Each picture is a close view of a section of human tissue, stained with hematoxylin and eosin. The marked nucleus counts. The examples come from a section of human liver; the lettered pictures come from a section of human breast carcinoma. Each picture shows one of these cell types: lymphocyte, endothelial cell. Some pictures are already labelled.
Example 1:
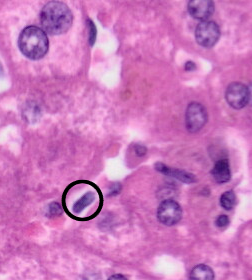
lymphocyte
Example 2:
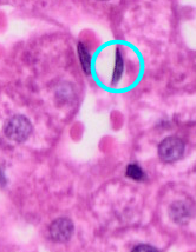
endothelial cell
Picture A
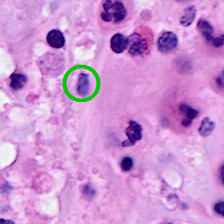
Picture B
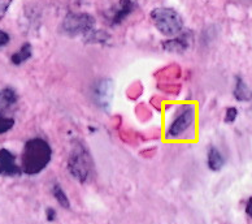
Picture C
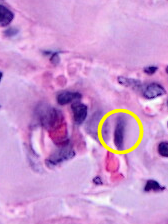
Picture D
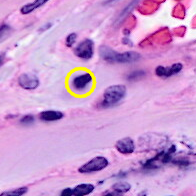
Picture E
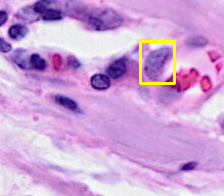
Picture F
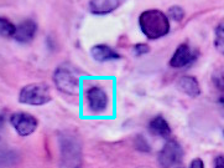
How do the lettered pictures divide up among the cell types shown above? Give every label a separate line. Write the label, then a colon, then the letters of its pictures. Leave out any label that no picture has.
lymphocyte: A, D, F
endothelial cell: B, C, E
